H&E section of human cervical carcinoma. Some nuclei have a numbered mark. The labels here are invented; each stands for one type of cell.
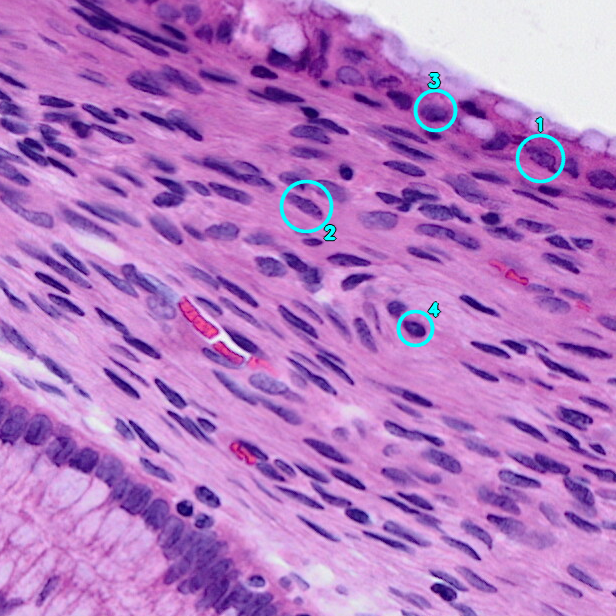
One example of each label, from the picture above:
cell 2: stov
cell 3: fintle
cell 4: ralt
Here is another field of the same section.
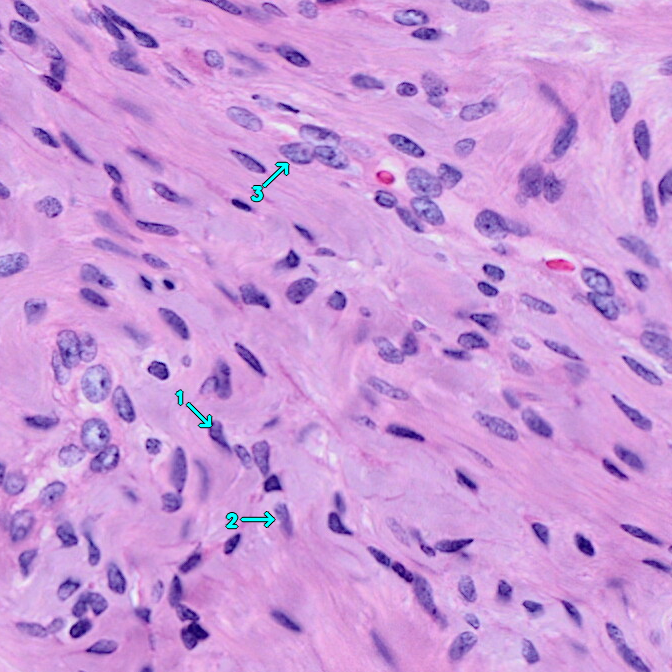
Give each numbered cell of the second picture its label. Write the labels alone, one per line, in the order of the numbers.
stov
stov
ralt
